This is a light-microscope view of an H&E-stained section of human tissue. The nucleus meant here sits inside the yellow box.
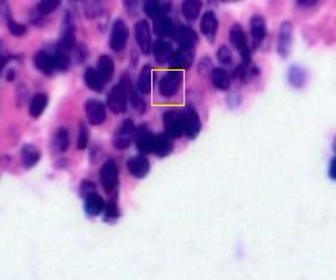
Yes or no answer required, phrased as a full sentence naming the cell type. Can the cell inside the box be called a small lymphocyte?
Yes, the cell inside the box has been identified as a small lymphocyte.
